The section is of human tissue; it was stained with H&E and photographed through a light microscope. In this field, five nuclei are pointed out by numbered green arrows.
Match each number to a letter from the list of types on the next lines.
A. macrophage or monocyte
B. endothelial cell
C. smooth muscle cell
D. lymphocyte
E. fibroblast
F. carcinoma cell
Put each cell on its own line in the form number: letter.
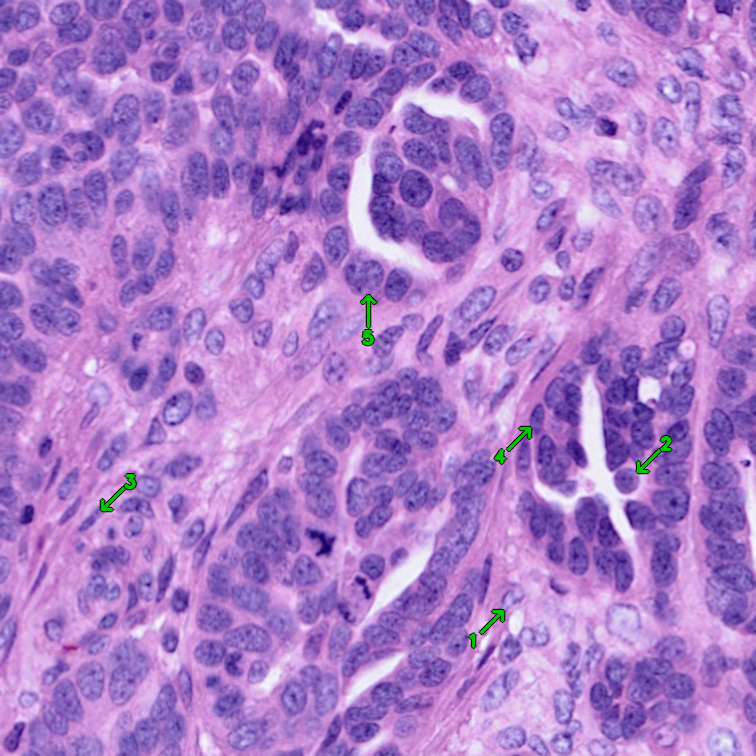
1: E
2: F
3: E
4: F
5: F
